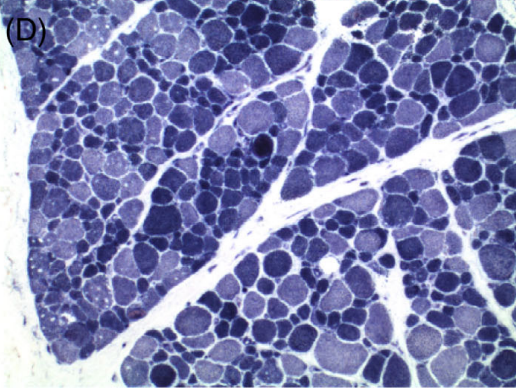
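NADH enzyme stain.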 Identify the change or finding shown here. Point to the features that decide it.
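Fibres of very different diameters lie side by side. Many small rounded fibres sit among larger polygonal ones. That points to this answer: variation in fibre size.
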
